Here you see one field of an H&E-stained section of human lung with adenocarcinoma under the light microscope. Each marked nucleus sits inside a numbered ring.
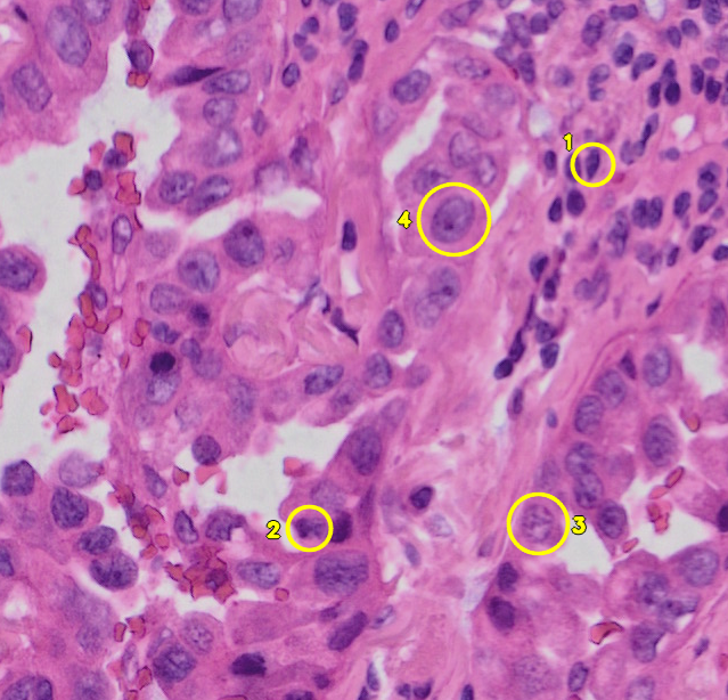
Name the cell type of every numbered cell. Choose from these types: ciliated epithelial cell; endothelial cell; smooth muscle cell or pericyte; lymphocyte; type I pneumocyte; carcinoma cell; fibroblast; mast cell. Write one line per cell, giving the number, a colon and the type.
1: lymphocyte
2: carcinoma cell
3: carcinoma cell
4: carcinoma cell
